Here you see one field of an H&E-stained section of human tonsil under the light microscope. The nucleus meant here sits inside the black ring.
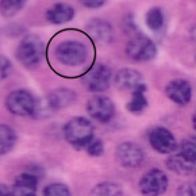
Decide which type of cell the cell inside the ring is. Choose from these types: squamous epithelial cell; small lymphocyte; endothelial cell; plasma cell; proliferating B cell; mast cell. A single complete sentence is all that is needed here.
Histopathologically, the cell inside the ring is a plasma cell.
